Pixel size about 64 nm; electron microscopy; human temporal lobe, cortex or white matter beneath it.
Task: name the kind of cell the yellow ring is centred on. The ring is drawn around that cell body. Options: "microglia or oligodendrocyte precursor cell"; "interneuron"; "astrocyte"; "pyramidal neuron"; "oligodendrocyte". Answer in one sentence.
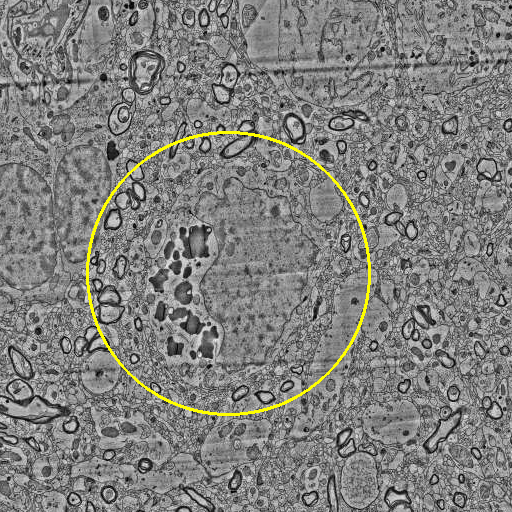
This cell body belongs to an interneuron.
